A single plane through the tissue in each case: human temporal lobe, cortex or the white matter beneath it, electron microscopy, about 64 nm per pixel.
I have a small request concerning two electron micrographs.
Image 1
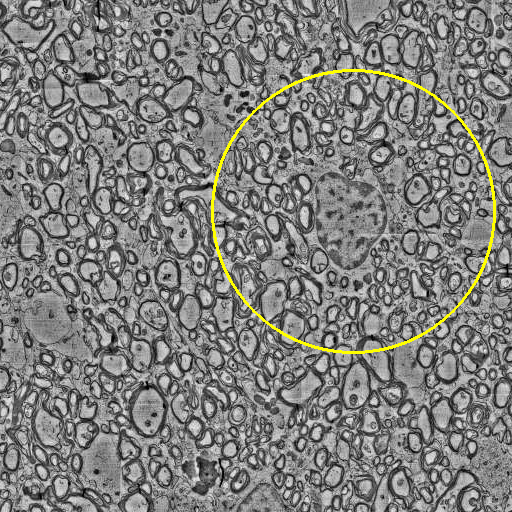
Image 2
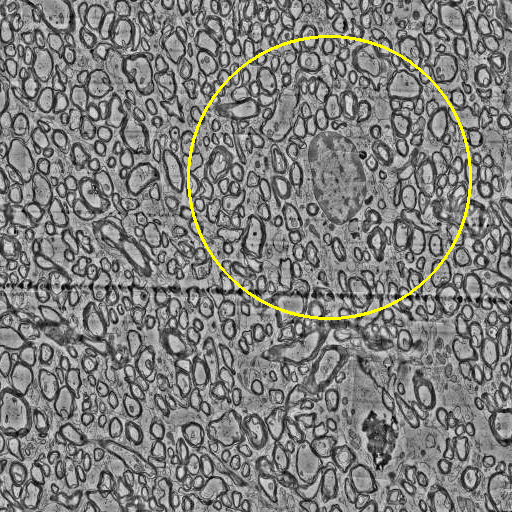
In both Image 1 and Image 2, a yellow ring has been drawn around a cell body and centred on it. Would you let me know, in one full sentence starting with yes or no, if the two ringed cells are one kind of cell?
Yes, the cells ringed in Image 1 and Image 2 are one kind of cell.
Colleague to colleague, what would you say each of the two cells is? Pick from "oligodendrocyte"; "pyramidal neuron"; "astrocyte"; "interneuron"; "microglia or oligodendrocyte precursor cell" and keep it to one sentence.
Each of the two pictures has a microglial cell or oligodendrocyte precursor cell at the ring centre.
